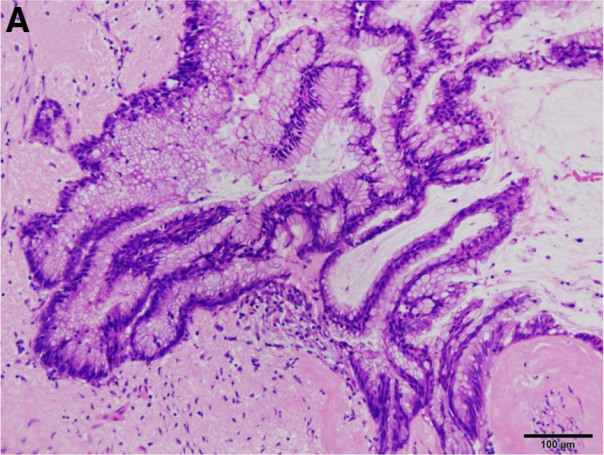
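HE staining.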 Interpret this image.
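This shows mucin-producing epithelium forming folded, papillary and gland-like strips. The lining cells are tall and columnar, with abundant pale, vacuolated apical cytoplasm full of mucin. Their nuclei are dark purple, elongated and lined up at the base, somewhat crowded and stratified in places but fairly uniform. A thin band of cellular fibrous stroma runs between the folds. Pale pink, lightly fibrillar material fills the spaces around the epithelium.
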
